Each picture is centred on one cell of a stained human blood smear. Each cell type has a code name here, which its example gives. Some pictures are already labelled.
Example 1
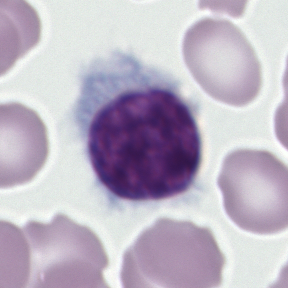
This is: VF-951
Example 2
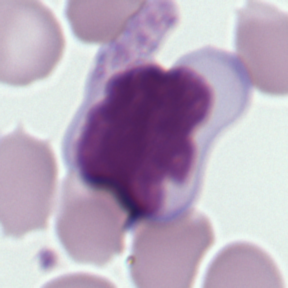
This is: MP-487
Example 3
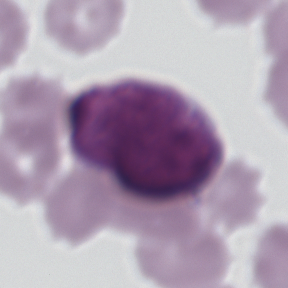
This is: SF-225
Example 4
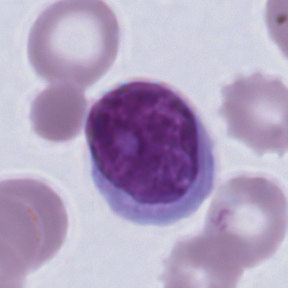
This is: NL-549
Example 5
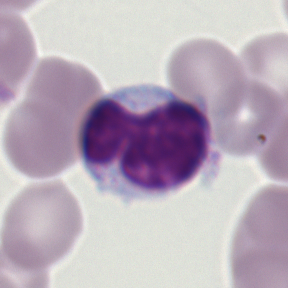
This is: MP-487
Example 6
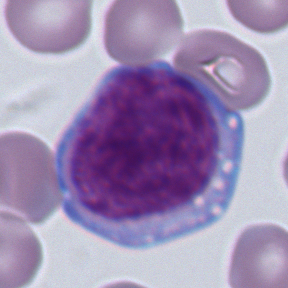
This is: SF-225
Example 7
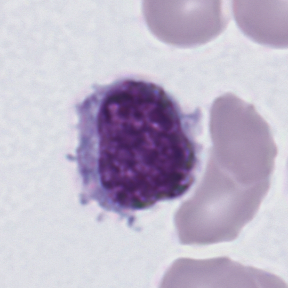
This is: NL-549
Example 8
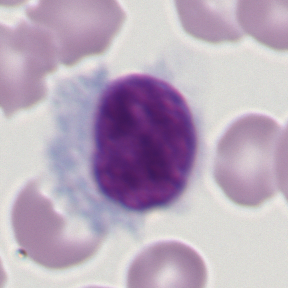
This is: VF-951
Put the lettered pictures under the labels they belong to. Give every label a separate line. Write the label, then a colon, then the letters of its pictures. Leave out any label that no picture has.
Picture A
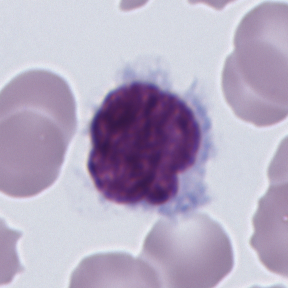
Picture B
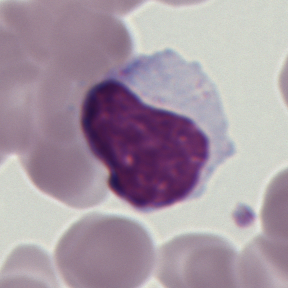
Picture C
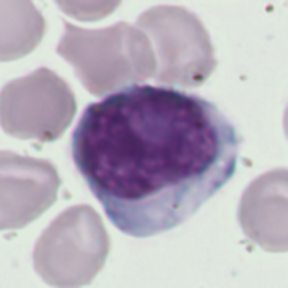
VF-951: A
MP-487: B
NL-549: C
